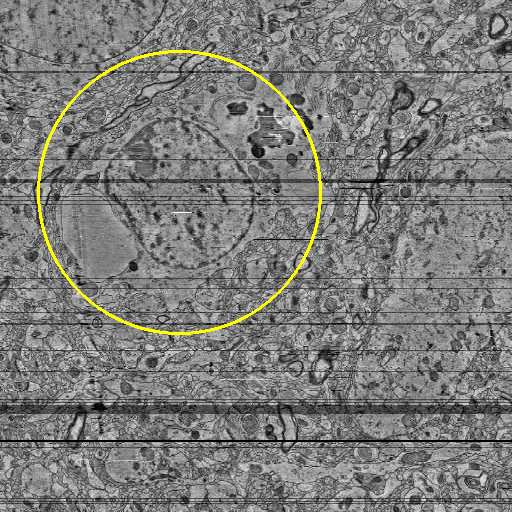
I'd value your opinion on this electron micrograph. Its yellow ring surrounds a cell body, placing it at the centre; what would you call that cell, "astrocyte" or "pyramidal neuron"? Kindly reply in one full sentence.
It is an astrocyte that sits centred within the yellow ring in this micrograph.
